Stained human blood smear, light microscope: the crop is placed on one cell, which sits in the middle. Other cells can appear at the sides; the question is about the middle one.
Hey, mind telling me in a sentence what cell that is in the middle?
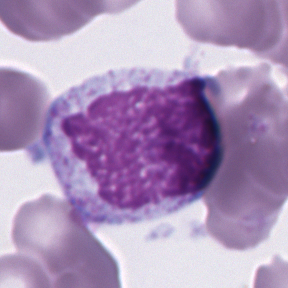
The center cell of this crop is a myelocyte.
